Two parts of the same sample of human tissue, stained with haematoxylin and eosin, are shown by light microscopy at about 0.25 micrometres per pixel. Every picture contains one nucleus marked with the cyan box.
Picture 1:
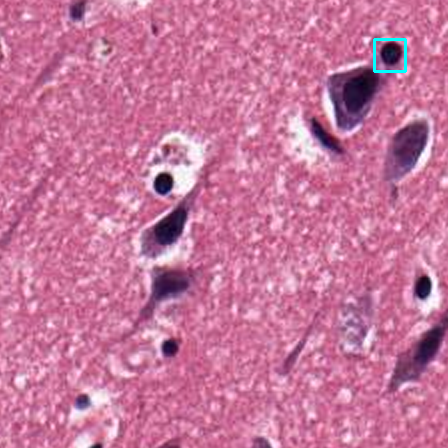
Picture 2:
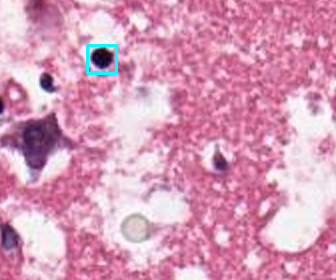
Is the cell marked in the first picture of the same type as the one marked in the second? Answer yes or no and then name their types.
Yes, both are oligodendrocytes.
